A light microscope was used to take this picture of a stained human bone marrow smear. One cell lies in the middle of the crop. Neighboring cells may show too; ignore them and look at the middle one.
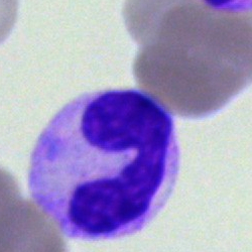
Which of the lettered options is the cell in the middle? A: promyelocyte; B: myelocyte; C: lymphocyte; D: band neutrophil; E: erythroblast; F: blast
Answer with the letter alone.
D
